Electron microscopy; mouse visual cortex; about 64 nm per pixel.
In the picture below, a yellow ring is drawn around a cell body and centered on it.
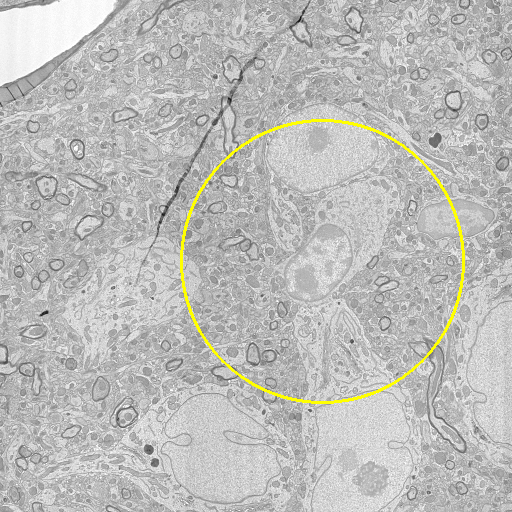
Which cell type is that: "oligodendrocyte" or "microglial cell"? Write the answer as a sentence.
The cell centered in the ring is an oligodendrocyte.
